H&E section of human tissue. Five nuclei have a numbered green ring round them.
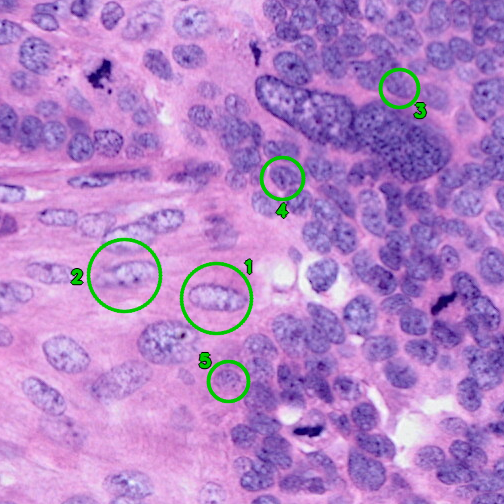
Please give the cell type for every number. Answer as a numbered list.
1. fibroblast
2. fibroblast
3. carcinoma cell
4. carcinoma cell
5. fibroblast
